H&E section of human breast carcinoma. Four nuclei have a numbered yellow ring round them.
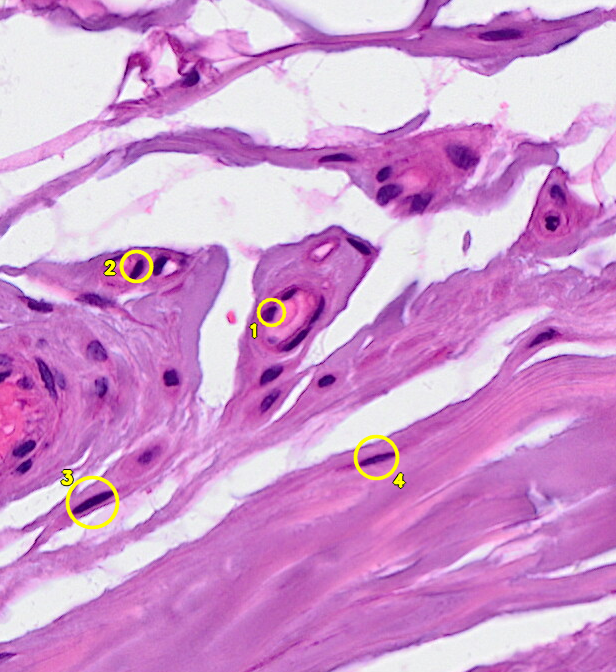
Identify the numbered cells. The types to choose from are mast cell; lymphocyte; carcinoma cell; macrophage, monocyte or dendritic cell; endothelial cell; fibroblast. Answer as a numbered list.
1. endothelial cell
2. endothelial cell
3. fibroblast
4. fibroblast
